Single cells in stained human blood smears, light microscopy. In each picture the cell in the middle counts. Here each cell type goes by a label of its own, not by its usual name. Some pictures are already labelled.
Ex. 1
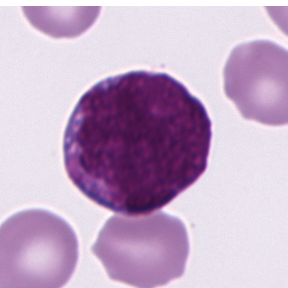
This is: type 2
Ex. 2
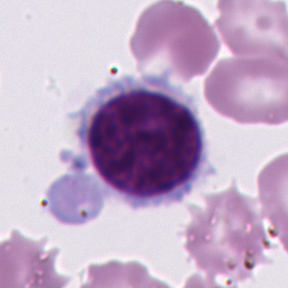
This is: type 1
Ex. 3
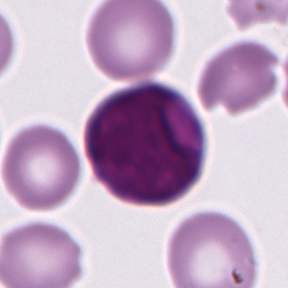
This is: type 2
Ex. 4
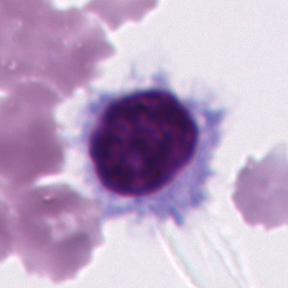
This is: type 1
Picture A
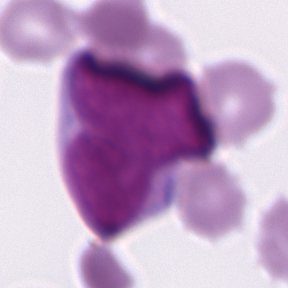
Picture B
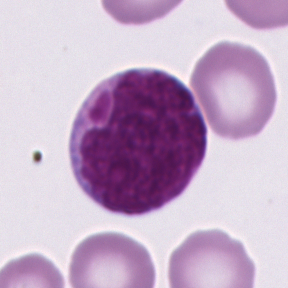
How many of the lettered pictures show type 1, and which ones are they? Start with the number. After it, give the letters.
0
